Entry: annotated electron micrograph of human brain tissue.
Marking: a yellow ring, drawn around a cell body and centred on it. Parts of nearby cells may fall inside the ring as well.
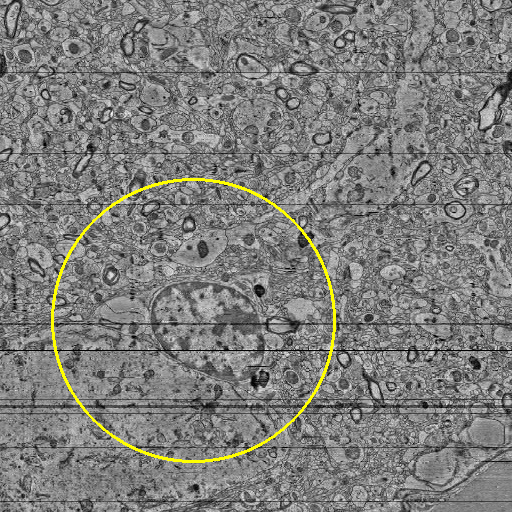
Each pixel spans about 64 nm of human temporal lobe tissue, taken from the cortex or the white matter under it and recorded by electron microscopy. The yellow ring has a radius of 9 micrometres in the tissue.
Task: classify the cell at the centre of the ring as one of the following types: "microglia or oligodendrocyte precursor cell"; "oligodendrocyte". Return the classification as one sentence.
The marked cell is classified as a microglial cell or oligodendrocyte precursor cell.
